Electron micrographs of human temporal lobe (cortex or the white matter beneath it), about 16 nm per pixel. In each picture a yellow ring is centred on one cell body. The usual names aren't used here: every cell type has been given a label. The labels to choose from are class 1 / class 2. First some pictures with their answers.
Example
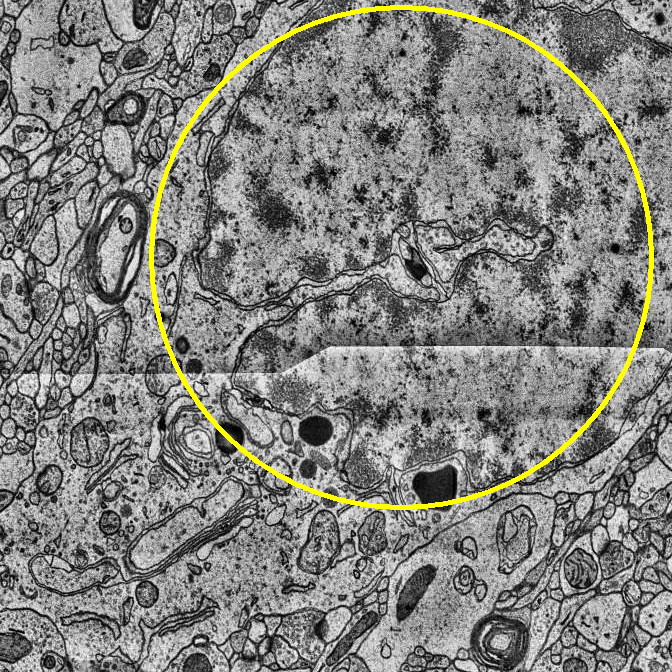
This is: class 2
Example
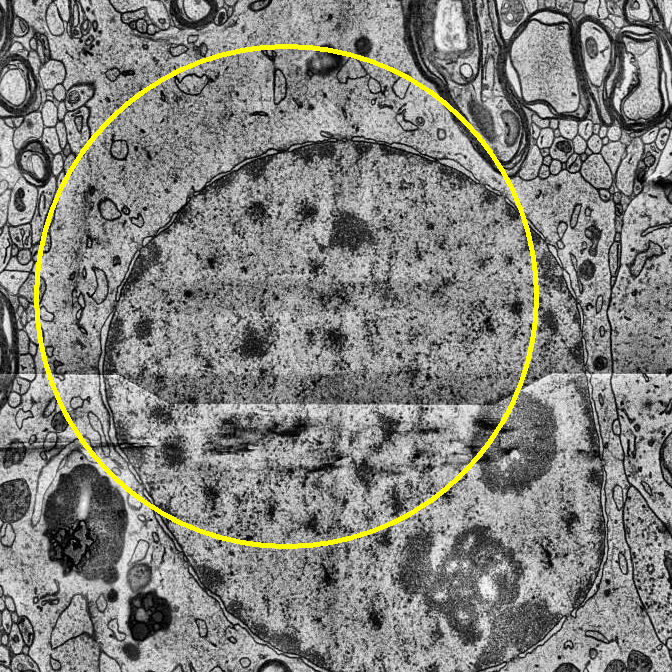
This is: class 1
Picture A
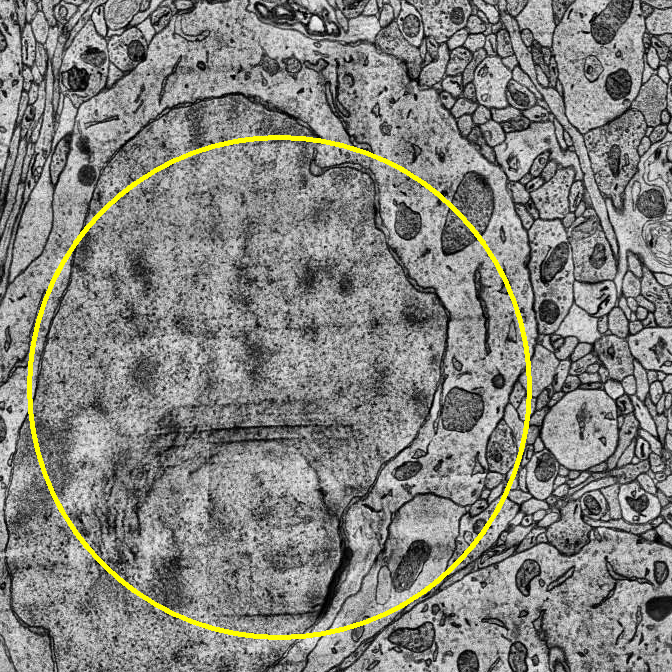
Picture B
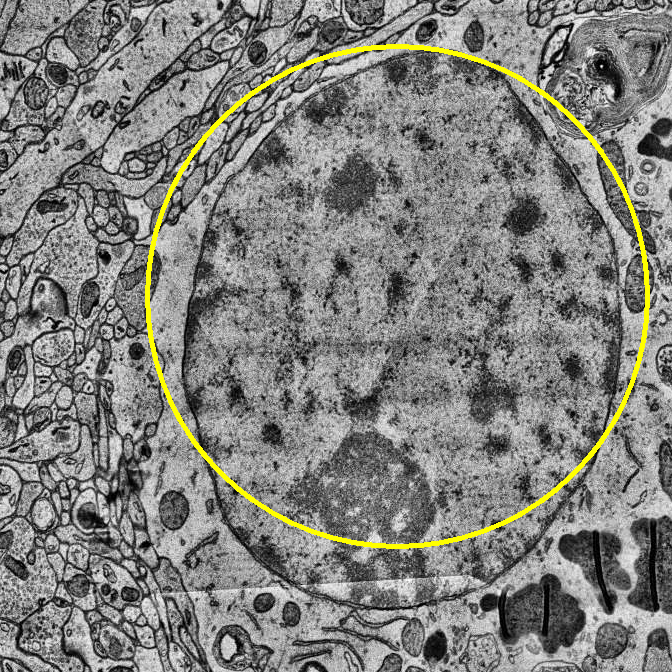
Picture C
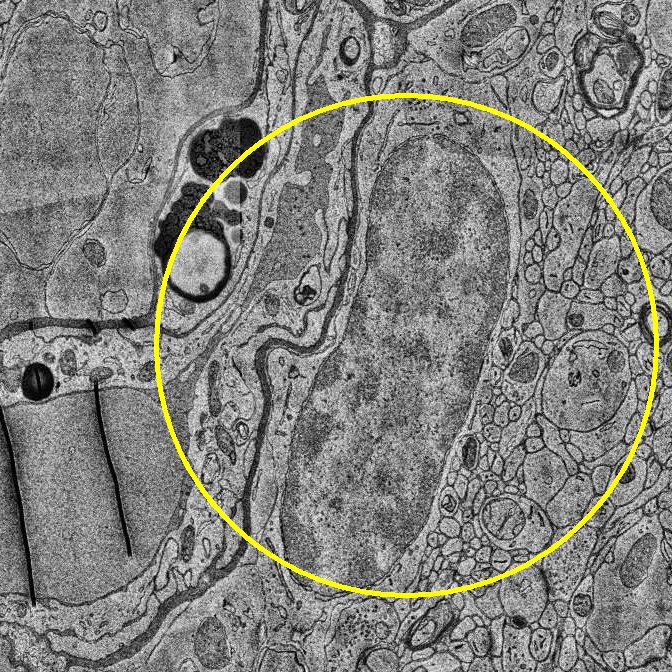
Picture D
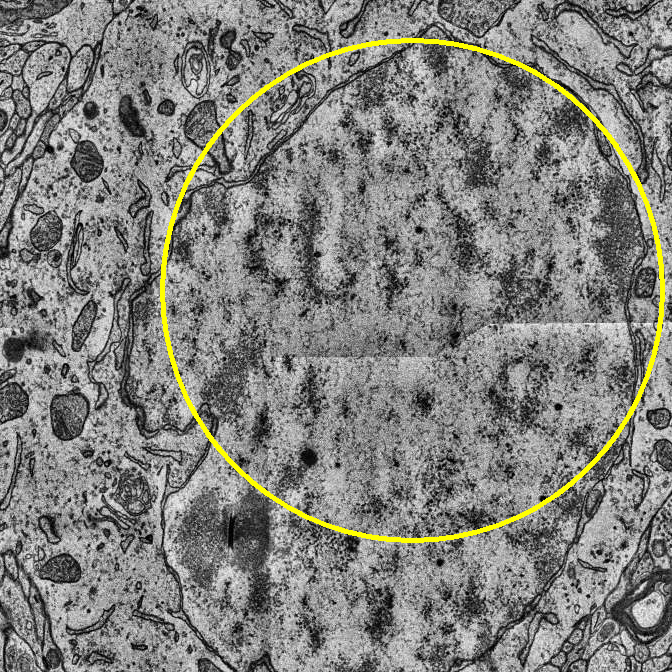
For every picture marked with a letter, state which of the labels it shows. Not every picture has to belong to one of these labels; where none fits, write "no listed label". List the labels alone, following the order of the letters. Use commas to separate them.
class 2, class 1, no listed label, class 2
